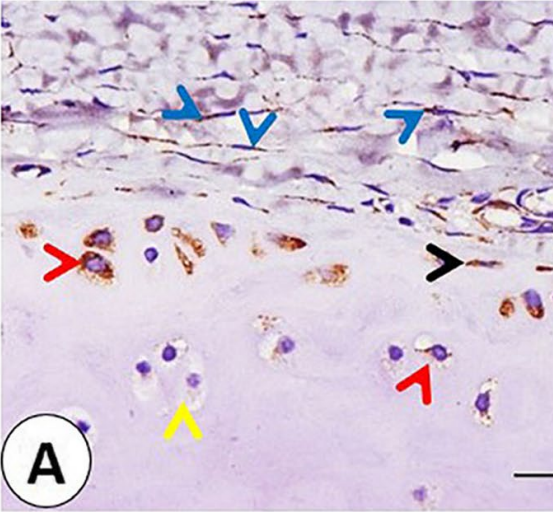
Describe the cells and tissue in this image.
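The edge of a piece of cartilage is seen with its covering perichondrium above and the cartilage matrix below. Just beneath it, cells in the pale matrix near the surface sit in small lacunae and many show brown granular cytoplasm, while cells deeper in the matrix lie in clear lacunae with little brown colour.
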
